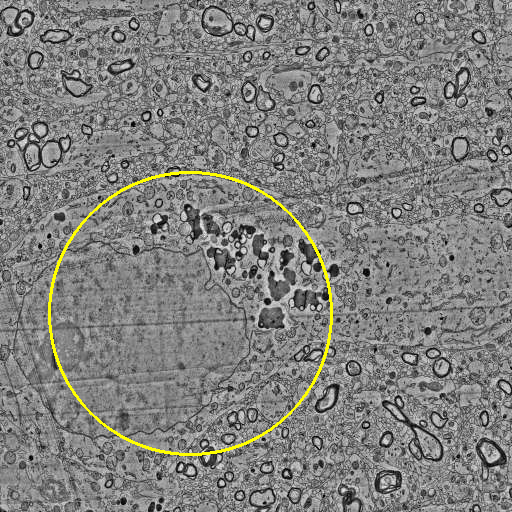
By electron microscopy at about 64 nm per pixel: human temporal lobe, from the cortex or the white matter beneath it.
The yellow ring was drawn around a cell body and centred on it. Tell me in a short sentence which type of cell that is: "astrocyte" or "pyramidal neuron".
The cell at the ring's centre is a pyramidal neuron.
